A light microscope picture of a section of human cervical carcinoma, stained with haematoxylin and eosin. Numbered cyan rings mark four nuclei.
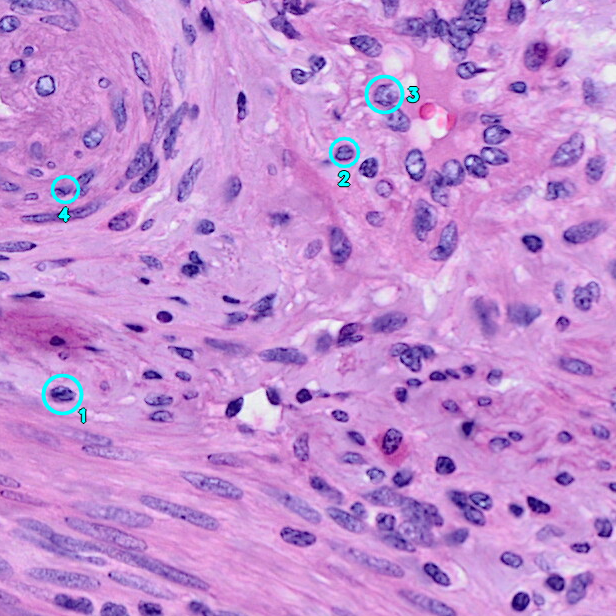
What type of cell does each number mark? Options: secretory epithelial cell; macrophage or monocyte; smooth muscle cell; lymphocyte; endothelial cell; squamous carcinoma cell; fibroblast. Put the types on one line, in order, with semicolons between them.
lymphocyte; smooth muscle cell; endothelial cell; smooth muscle cell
